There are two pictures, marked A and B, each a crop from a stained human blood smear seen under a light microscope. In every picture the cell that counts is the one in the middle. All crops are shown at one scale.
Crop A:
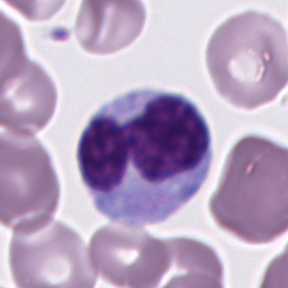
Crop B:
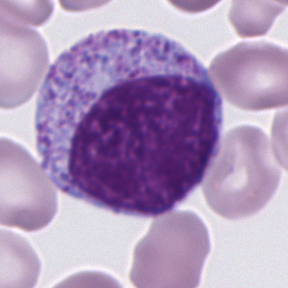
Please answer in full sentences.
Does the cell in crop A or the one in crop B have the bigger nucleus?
It is the nucleus in crop B, about 2 times as large in area as the one in crop A.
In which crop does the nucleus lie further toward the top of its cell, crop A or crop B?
Seen within its cell, the nucleus in crop A lies further toward the top.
